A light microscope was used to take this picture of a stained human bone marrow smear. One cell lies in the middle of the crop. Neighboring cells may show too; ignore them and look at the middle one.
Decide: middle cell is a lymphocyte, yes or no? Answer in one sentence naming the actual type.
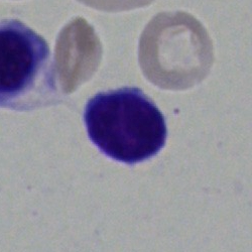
Yes, the central cell is to be recorded as a lymphocyte.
